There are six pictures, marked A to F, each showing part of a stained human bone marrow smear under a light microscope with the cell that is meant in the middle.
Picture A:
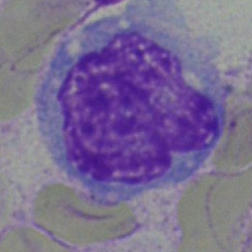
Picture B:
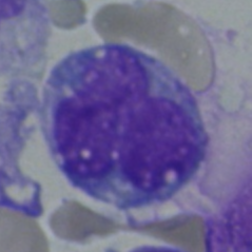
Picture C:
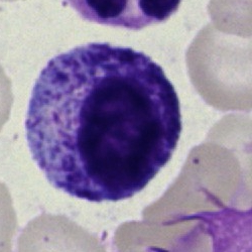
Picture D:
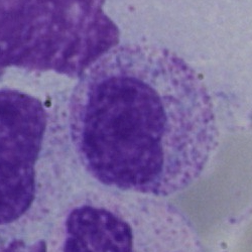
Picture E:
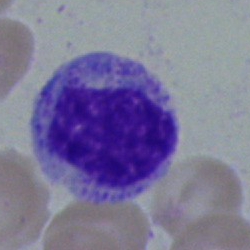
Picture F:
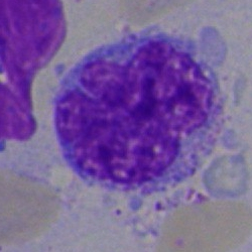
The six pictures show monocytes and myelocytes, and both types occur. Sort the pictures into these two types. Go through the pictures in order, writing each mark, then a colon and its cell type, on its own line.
A: monocyte
B: monocyte
C: myelocyte
D: myelocyte
E: myelocyte
F: monocyte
